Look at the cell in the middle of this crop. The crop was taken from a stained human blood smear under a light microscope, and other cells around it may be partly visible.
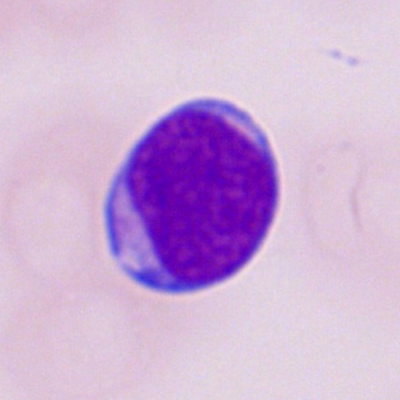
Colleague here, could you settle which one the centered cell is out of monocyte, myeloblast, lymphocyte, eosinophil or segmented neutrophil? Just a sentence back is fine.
The cell that lies at the centre of the crop is a myeloblast.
